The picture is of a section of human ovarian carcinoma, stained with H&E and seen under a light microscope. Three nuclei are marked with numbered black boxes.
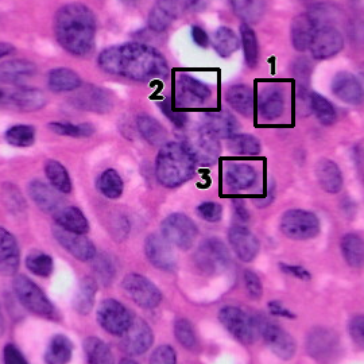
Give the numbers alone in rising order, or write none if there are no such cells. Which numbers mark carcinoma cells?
1, 2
